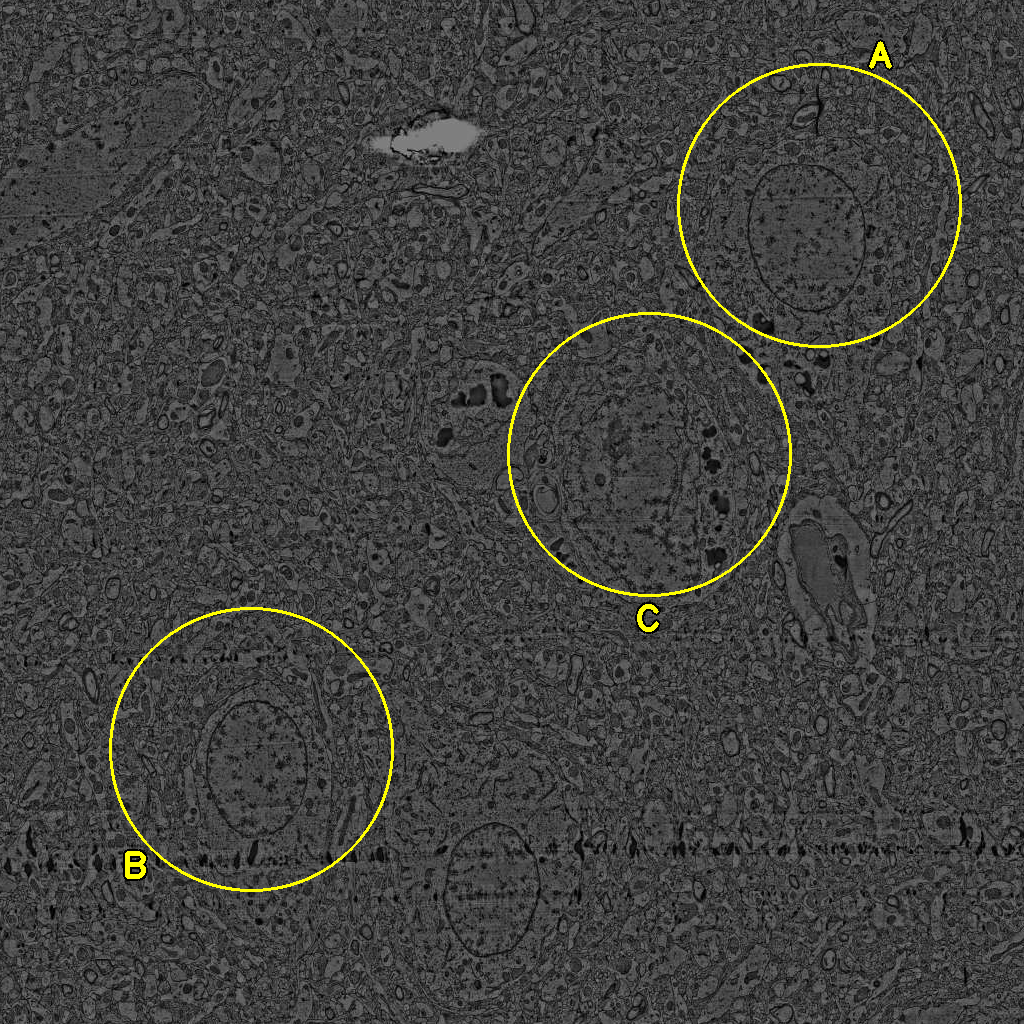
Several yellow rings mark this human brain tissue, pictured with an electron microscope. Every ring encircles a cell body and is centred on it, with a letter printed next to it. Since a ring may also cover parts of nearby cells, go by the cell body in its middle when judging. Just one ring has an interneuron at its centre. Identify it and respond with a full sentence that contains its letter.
The answer is ring C, whose centre rests on the cell asked for.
